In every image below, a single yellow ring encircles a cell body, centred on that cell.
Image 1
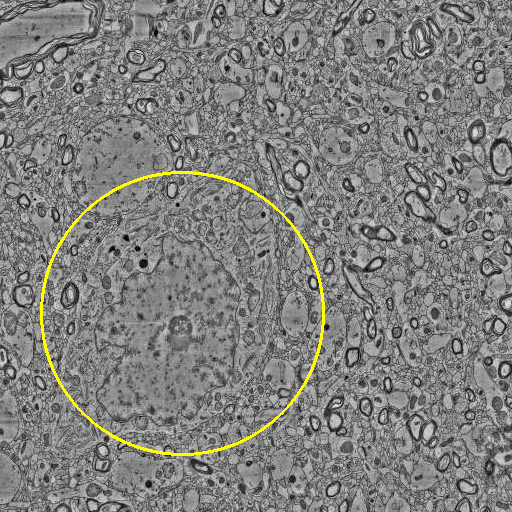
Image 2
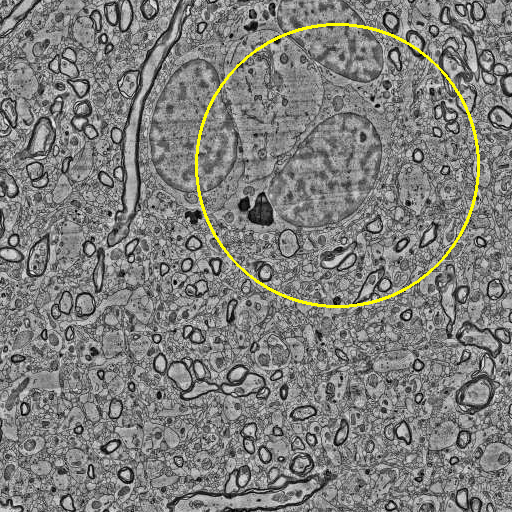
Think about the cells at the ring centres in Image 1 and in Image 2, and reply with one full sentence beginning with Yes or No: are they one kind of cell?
No, the cells centred in the rings of Image 1 and Image 2 are two kinds of cell.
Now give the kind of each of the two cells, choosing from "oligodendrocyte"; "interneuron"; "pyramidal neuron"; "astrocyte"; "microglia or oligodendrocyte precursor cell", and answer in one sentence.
The cell in the first picture is an interneuron, and the cell in the second is an oligodendrocyte.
